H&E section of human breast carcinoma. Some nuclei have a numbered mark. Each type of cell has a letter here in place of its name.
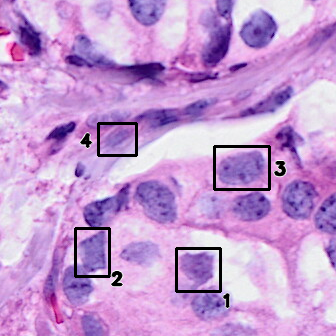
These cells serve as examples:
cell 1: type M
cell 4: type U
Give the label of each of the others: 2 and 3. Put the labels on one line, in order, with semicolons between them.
type M; type M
